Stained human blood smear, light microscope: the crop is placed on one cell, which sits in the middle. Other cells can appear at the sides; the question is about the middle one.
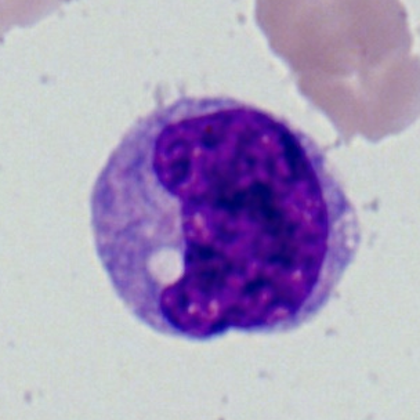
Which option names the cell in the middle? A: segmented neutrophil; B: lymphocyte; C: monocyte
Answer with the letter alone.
C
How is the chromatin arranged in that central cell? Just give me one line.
This nucleus has coarsely clumped chromatin.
